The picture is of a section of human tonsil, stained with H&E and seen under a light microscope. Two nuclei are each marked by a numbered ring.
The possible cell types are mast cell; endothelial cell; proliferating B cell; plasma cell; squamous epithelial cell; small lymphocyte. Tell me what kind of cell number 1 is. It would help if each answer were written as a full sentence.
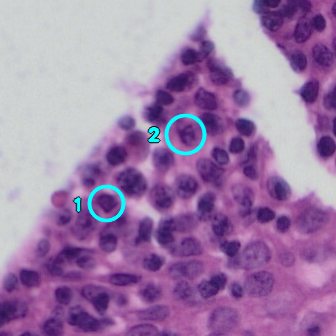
The cell referred to as 1 is a squamous epithelial cell.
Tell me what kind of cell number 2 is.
Here, the cell given the number 2 is a plasma cell.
